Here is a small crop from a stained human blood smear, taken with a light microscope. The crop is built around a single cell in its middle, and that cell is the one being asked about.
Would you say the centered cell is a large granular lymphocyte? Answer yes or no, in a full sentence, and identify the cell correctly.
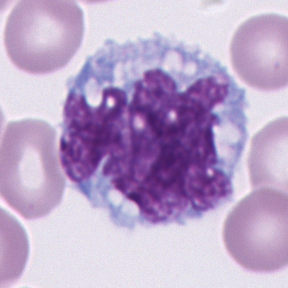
No, what lies at the heart of the crop is a monocyte, not a large granular lymphocyte.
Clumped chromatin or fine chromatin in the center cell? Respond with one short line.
The nuclear chromatin is fine, showing no coarse aggregates.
